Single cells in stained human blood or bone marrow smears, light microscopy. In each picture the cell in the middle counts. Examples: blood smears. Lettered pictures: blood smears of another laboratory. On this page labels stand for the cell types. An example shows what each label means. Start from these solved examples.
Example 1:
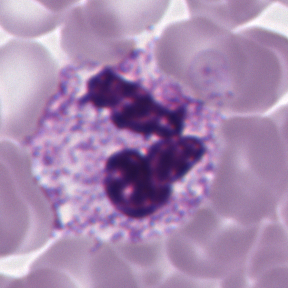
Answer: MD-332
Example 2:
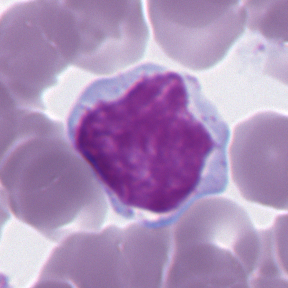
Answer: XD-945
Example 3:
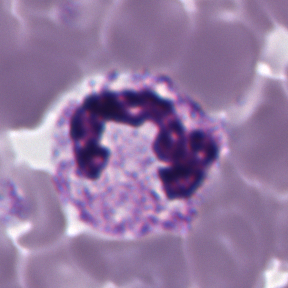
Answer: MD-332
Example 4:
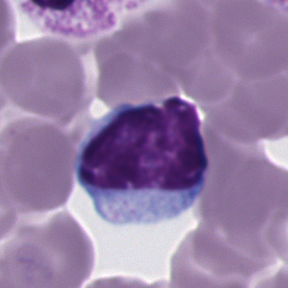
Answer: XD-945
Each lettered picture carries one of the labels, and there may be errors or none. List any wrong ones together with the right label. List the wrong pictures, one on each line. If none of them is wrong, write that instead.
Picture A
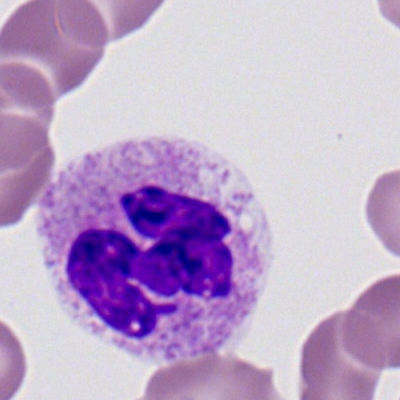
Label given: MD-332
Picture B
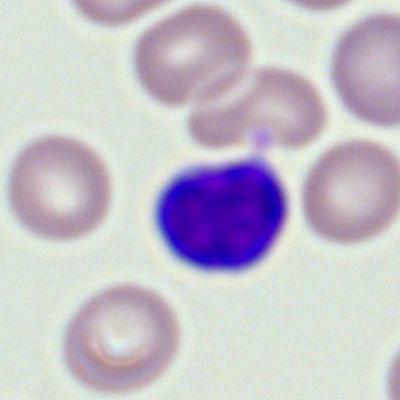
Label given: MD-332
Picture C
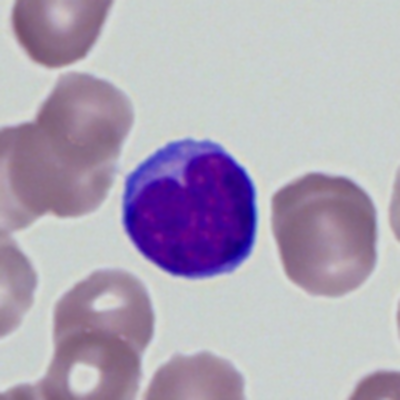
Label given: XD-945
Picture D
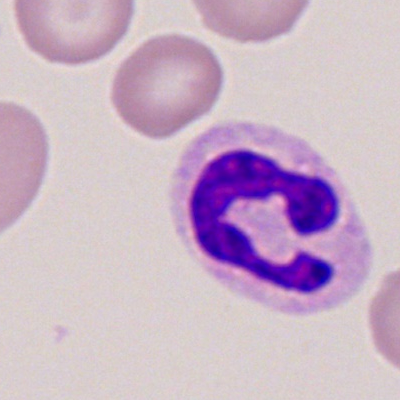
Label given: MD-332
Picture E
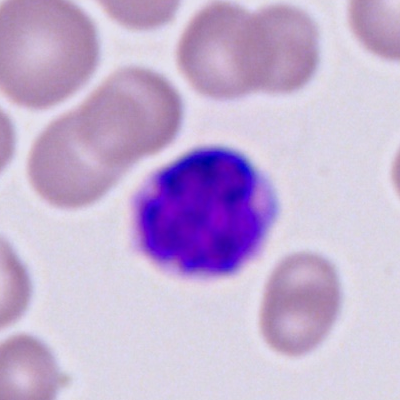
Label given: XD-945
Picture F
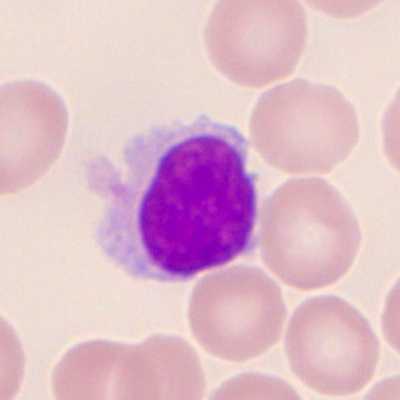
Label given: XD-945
B: XD-945, not MD-332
